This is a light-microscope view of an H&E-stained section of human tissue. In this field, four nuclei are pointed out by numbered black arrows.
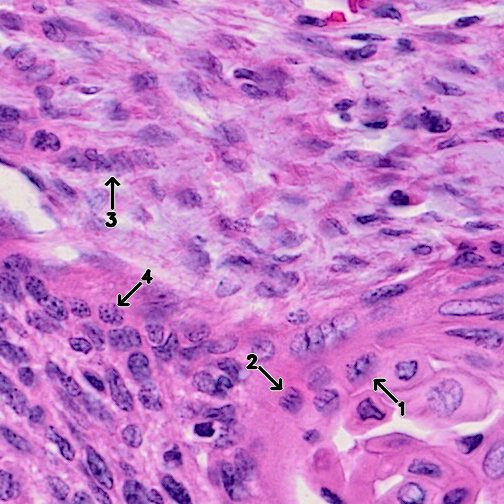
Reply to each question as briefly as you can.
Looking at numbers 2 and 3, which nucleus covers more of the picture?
3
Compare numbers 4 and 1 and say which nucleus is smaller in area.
4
